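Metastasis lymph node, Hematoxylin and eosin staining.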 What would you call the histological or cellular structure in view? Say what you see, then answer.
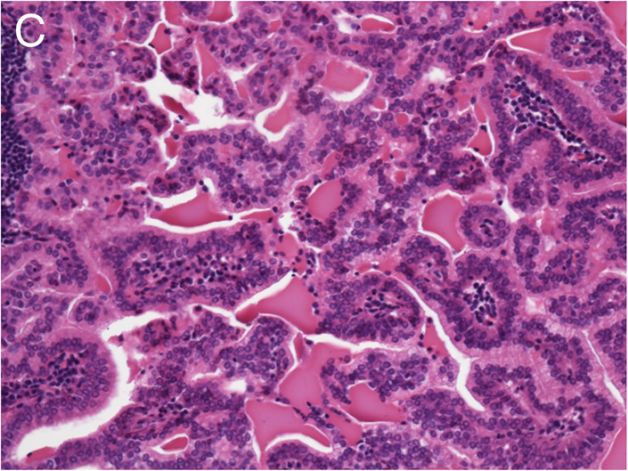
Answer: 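Many small lumina contain pink homogeneous material. The pink material pulls away from the lining epithelium with irregular edges.
Hence: colloid-like luminal content.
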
